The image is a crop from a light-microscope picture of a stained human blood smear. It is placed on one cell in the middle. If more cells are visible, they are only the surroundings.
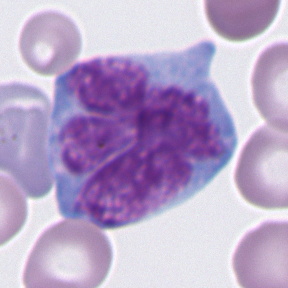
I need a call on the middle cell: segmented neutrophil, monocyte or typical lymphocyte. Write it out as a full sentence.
The cell at the central position in this crop is a monocyte.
